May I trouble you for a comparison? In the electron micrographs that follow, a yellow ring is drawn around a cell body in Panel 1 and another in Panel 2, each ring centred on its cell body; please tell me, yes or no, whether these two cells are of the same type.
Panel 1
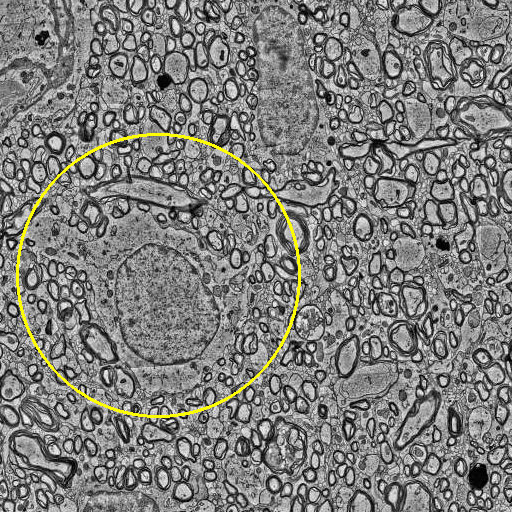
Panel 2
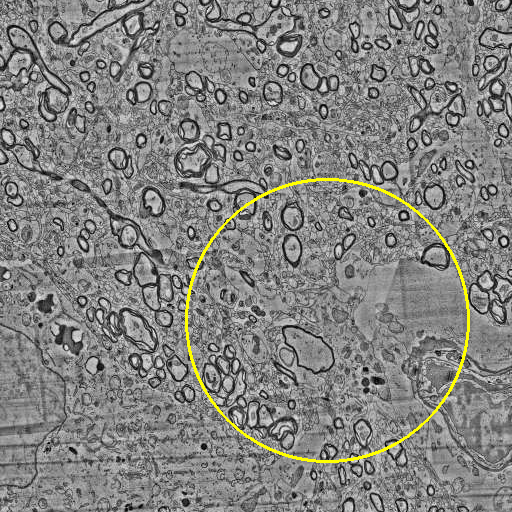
no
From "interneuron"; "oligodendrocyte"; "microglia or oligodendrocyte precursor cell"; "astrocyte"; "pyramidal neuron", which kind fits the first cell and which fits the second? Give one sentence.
The cell marked in the first picture is an astrocyte, and the one marked in the second is an oligodendrocyte.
